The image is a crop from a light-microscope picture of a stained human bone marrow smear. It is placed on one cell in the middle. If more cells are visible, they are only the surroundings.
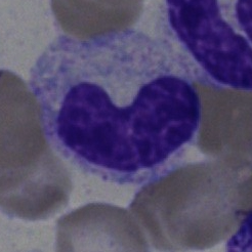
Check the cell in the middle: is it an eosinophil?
no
